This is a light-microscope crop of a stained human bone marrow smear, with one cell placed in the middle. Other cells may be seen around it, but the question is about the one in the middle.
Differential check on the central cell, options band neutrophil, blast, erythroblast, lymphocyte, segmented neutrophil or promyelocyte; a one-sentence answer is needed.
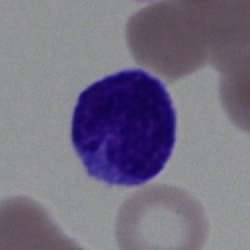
In the center of this field lies a lymphocyte.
